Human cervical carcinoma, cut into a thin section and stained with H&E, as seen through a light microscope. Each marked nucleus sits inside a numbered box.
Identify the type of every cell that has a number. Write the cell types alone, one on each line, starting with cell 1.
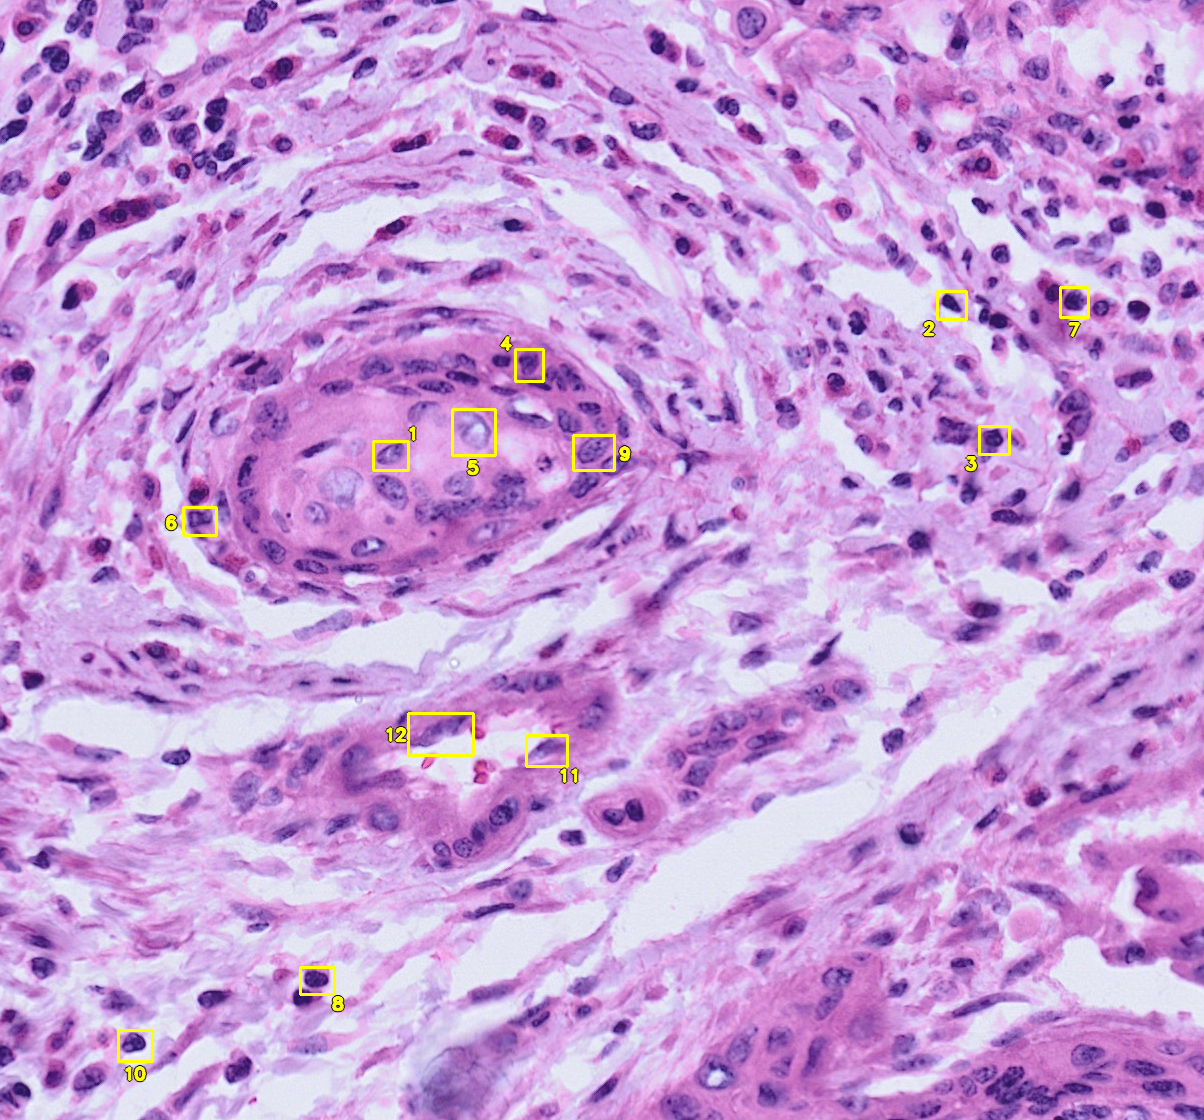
squamous carcinoma cell
lymphocyte
lymphocyte
squamous carcinoma cell
squamous carcinoma cell
macrophage or monocyte
lymphocyte
lymphocyte
squamous carcinoma cell
lymphocyte
endothelial cell
endothelial cell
